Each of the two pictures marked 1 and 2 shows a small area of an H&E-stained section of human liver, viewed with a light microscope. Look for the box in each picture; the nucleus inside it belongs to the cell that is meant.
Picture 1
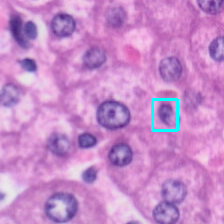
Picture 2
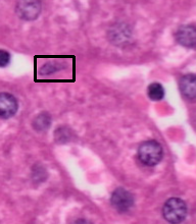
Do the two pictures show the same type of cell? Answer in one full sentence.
No; the cell in picture 1 is a Kupffer cell, while the one in picture 2 is a “fibroblast or stellate cell”.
